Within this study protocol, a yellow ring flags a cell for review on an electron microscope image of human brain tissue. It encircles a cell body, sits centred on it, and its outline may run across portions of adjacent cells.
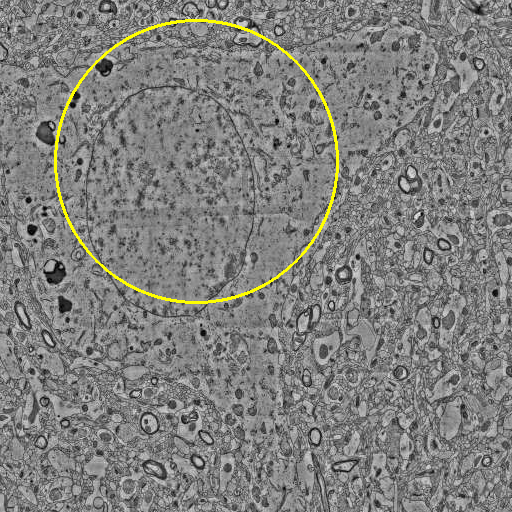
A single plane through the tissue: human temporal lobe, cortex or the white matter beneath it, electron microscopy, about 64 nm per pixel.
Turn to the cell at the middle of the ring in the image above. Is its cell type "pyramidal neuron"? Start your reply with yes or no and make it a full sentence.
Yes, the cell at the ring's centre in the image above has that cell type.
